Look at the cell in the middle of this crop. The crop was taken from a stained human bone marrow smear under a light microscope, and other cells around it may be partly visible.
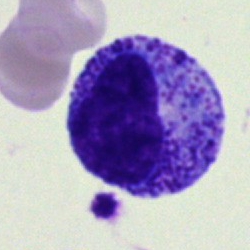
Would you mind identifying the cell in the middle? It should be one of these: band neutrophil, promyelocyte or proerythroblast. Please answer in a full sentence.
In the center of this field lies a promyelocyte.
